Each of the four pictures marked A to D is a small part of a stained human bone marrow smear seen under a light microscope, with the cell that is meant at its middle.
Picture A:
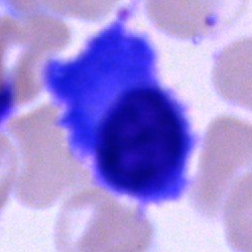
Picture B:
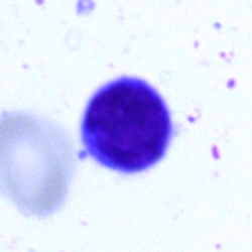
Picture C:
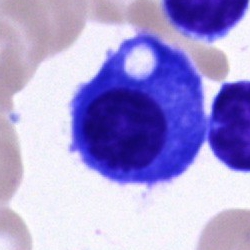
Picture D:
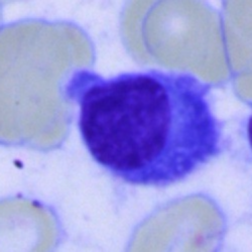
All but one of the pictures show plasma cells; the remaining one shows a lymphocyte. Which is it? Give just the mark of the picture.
B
